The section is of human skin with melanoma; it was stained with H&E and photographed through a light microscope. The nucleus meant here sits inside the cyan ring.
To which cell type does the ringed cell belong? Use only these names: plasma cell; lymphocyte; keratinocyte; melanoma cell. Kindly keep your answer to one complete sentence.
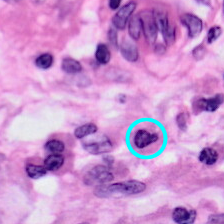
Just put down that the ringed cell is a plasma cell.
